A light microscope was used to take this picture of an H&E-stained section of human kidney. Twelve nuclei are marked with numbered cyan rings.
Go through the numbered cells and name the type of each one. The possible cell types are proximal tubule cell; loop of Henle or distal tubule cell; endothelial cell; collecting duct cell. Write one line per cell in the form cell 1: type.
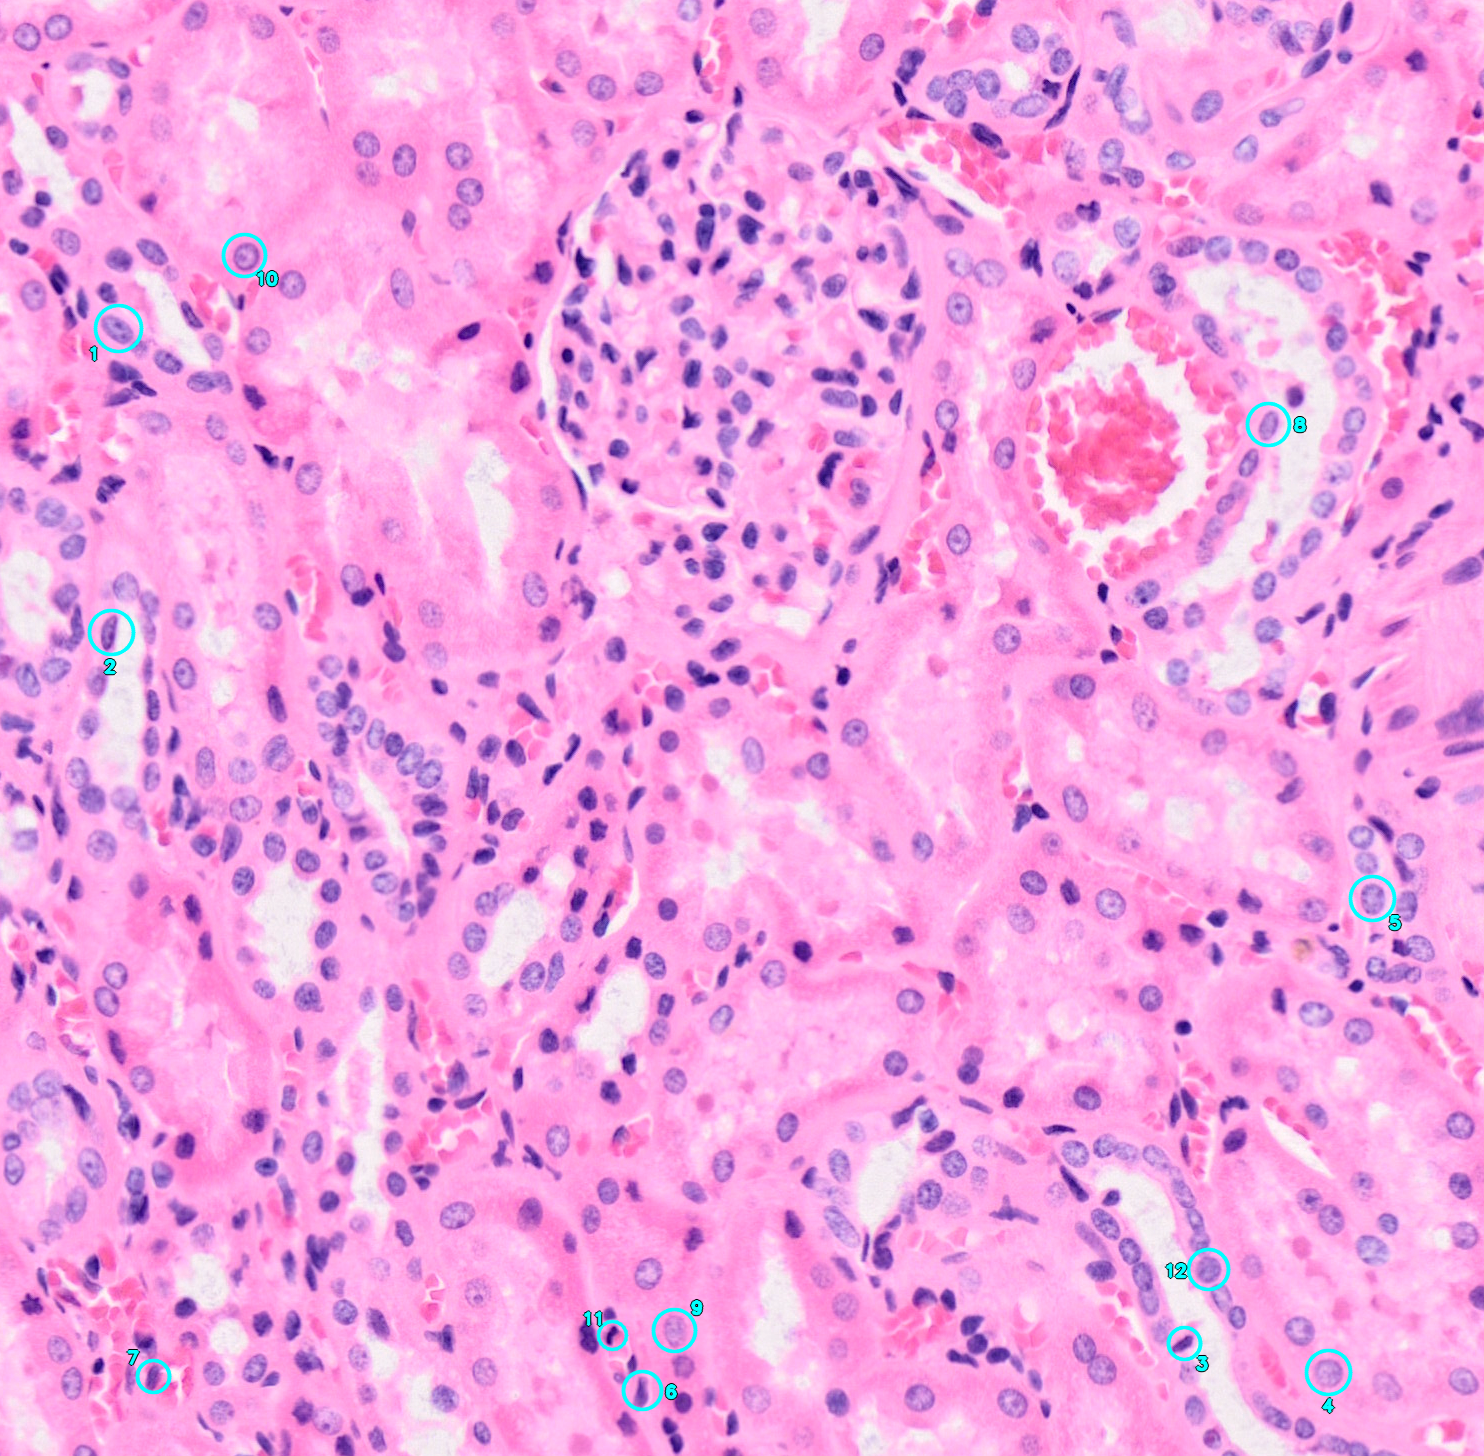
cell 1: collecting duct cell
cell 2: loop of Henle or distal tubule cell
cell 3: collecting duct cell
cell 4: proximal tubule cell
cell 5: collecting duct cell
cell 6: endothelial cell
cell 7: endothelial cell
cell 8: collecting duct cell
cell 9: proximal tubule cell
cell 10: proximal tubule cell
cell 11: endothelial cell
cell 12: collecting duct cell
